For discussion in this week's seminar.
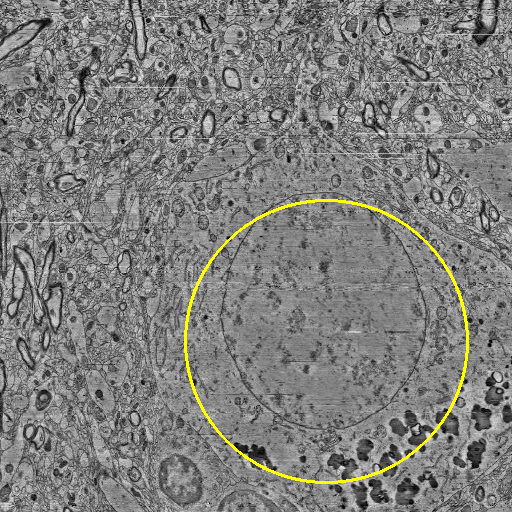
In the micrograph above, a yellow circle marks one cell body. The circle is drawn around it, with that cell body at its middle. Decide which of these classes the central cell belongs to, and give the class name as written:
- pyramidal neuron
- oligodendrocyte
pyramidal neuron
